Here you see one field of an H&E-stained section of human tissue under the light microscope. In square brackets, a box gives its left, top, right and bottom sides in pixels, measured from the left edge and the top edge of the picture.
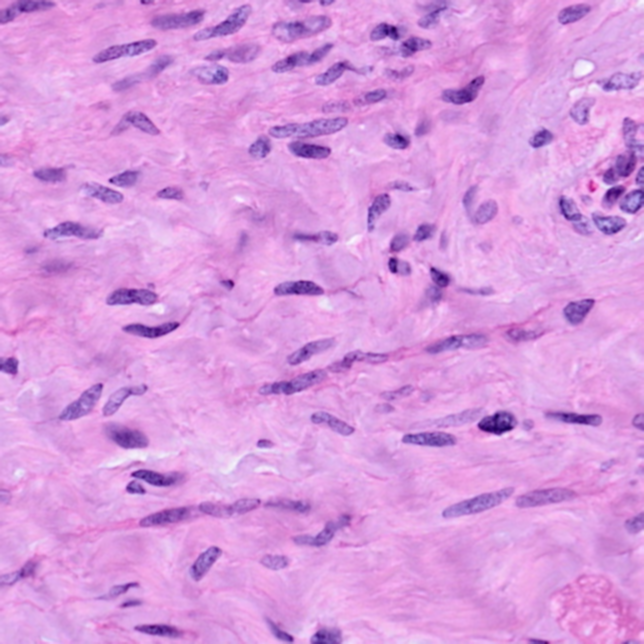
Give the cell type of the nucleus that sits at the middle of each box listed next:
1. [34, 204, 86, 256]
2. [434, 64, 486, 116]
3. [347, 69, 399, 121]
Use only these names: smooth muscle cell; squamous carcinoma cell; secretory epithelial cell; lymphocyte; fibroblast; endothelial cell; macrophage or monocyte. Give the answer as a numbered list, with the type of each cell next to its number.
1. fibroblast
2. fibroblast
3. smooth muscle cell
